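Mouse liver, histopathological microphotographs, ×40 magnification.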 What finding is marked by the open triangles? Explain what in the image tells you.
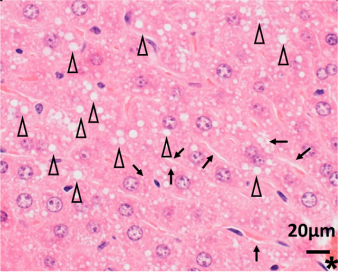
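Vacuolation. Many round, clear, unstained spaces of different sizes lie in the pink cytoplasm. The clear spaces are next to the open triangles.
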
